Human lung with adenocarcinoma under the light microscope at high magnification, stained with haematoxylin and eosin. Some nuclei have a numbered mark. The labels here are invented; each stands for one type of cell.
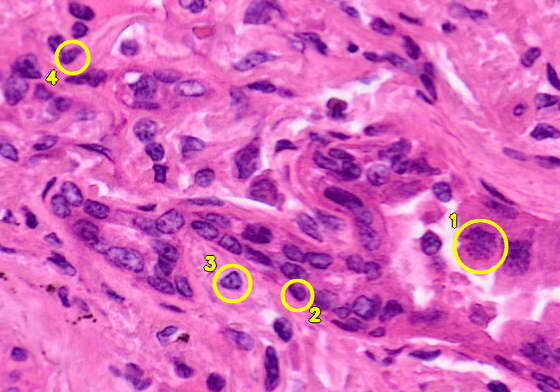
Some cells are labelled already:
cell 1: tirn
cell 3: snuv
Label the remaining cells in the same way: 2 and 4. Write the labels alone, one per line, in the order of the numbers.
snuv
snuv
